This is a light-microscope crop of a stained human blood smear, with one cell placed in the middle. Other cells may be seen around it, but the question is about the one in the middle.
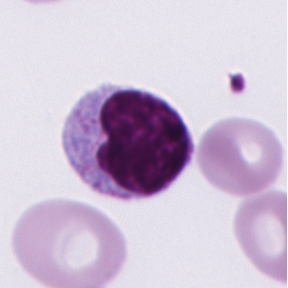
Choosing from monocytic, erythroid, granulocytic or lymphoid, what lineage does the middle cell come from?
lymphoid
